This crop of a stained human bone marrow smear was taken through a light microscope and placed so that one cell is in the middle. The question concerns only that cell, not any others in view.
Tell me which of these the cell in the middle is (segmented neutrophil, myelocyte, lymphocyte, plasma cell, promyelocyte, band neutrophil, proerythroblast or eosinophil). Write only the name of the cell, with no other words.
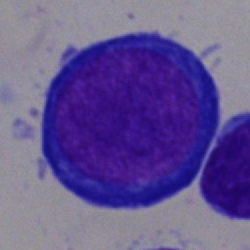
proerythroblast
